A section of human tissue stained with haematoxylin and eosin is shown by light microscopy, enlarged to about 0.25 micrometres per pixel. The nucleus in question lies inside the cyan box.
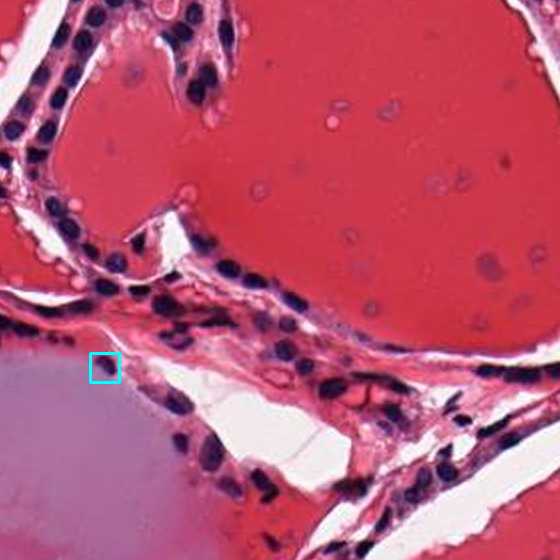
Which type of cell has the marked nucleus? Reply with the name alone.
thyroid follicular cell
